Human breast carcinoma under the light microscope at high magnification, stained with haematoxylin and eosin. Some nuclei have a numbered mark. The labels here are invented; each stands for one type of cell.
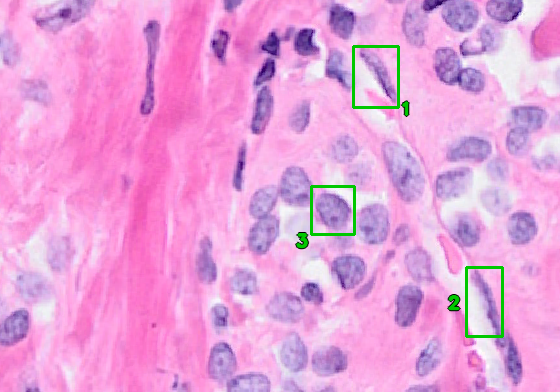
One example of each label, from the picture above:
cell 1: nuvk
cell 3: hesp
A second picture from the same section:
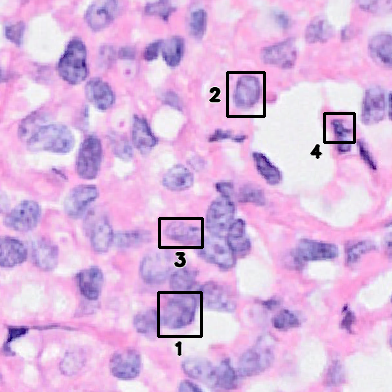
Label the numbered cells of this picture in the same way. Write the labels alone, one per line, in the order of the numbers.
hesp
hesp
hesp
nuvk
